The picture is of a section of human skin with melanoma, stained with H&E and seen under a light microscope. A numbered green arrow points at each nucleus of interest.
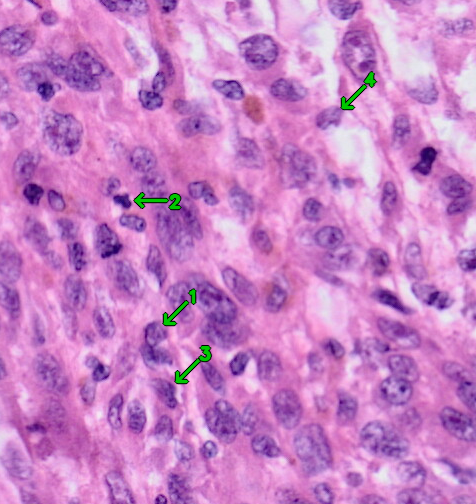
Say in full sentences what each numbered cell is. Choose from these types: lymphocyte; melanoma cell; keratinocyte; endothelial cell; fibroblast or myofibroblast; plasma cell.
Cells 1, 3 and 4 are melanoma cells. Cell 2 is a lymphocyte.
